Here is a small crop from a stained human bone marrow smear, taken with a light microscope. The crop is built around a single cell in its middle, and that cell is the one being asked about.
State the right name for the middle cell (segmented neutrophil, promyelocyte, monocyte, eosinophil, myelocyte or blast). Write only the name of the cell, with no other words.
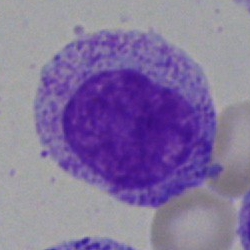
myelocyte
